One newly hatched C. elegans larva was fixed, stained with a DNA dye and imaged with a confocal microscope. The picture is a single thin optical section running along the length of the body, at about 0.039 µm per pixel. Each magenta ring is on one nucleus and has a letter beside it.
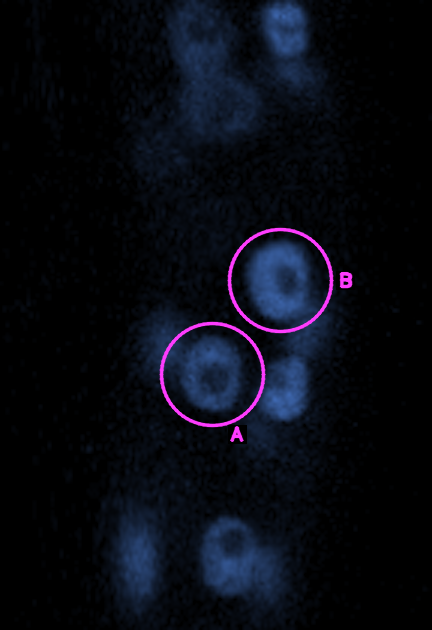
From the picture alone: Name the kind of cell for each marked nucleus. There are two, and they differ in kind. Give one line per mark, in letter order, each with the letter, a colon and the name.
A: hypodermal cell (hyp)
B: seam cell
